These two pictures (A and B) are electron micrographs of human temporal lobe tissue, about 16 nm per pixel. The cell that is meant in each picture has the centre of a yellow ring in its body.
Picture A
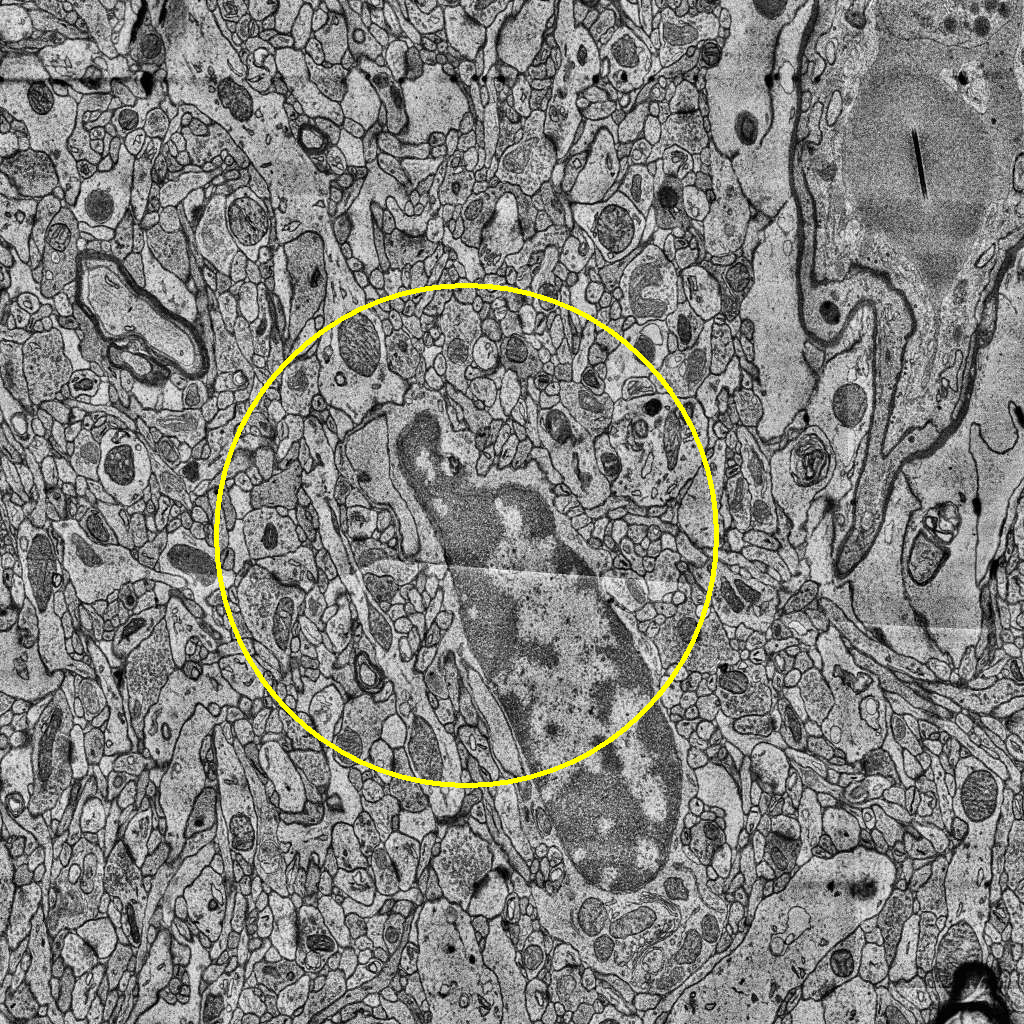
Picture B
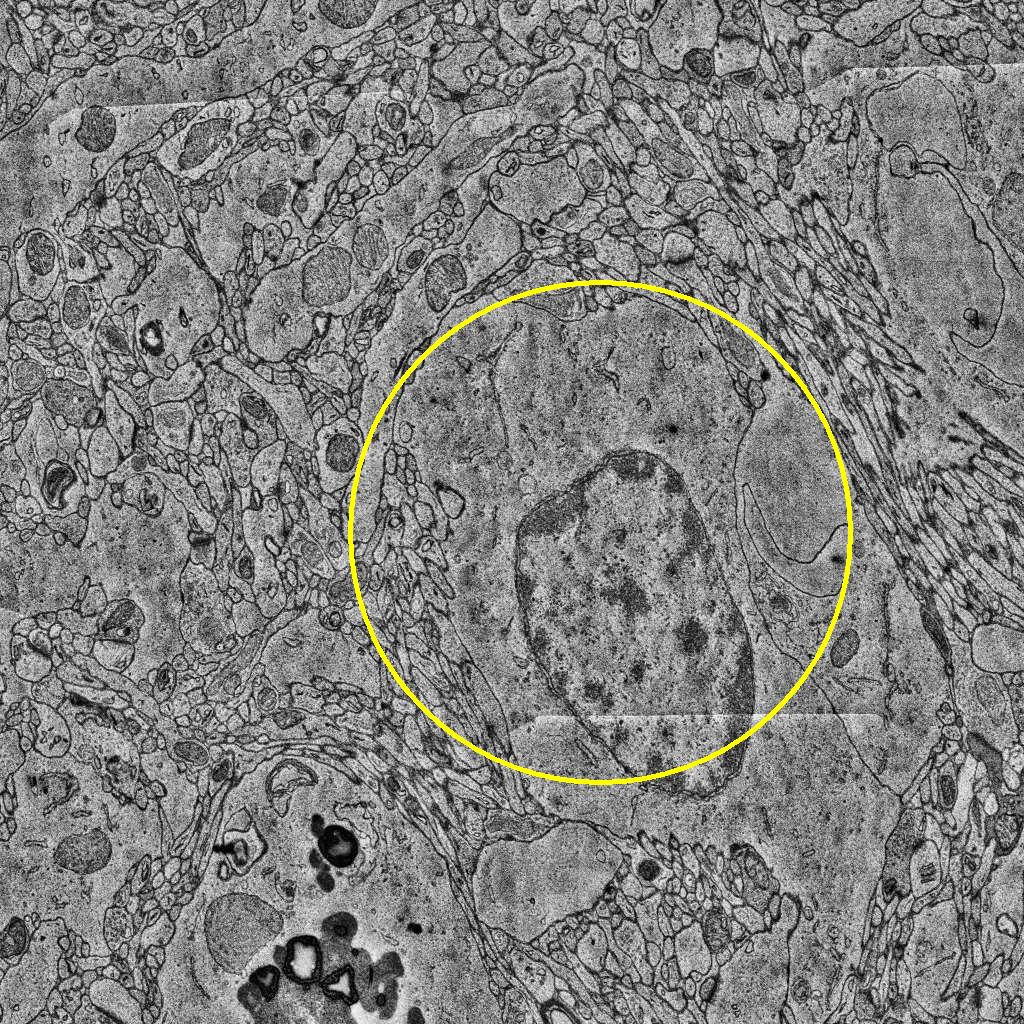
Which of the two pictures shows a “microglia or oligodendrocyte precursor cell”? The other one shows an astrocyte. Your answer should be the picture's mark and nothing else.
A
